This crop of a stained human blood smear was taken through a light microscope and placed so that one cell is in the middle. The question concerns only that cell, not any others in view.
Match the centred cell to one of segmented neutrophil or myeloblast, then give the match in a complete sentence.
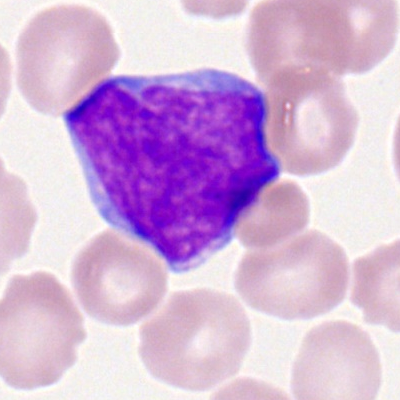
This crop has a myeloblast at its centre.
